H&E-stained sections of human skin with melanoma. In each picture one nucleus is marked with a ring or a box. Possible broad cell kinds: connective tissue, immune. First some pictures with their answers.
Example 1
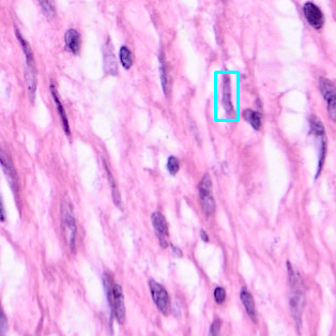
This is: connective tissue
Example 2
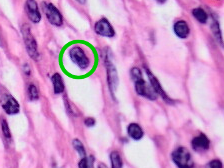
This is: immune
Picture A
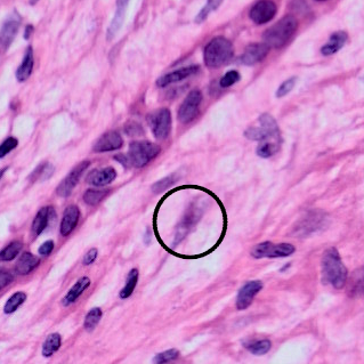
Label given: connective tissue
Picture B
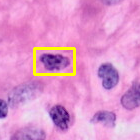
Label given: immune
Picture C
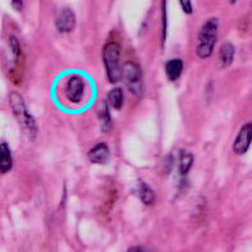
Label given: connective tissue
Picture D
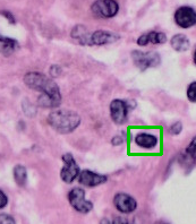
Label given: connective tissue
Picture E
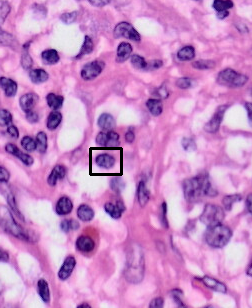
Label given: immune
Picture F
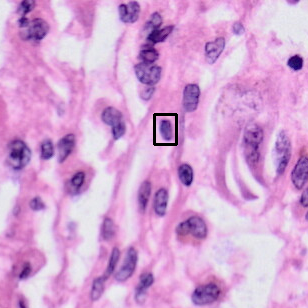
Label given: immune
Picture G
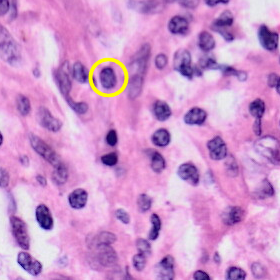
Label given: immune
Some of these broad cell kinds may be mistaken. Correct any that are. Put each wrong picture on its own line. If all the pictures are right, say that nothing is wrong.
C should be immune, not connective tissue
D should be immune, not connective tissue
